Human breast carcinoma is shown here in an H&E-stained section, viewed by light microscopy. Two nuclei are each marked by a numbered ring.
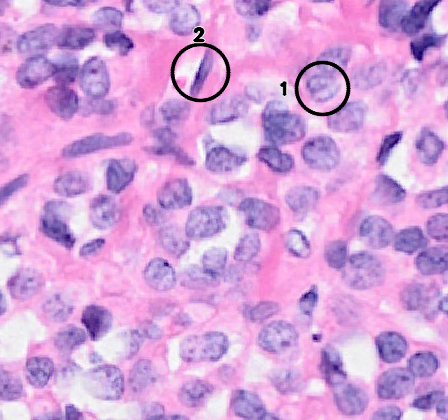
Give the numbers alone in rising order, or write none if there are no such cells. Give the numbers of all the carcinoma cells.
1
